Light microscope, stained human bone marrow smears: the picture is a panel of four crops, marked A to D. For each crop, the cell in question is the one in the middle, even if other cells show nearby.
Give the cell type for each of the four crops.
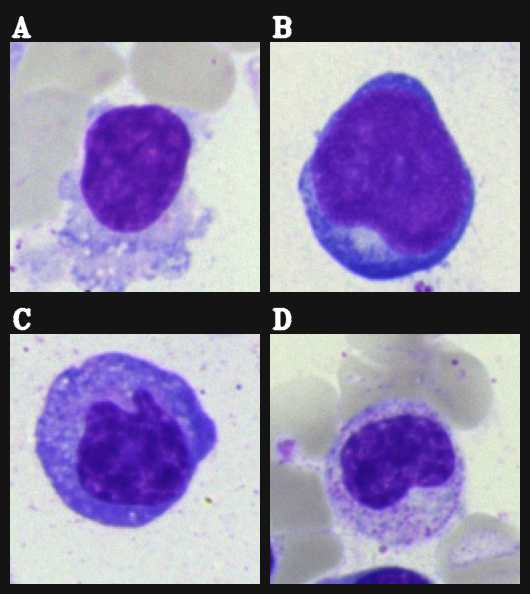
A: hairy cell
B: blast
C: plasma cell
D: metamyelocyte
